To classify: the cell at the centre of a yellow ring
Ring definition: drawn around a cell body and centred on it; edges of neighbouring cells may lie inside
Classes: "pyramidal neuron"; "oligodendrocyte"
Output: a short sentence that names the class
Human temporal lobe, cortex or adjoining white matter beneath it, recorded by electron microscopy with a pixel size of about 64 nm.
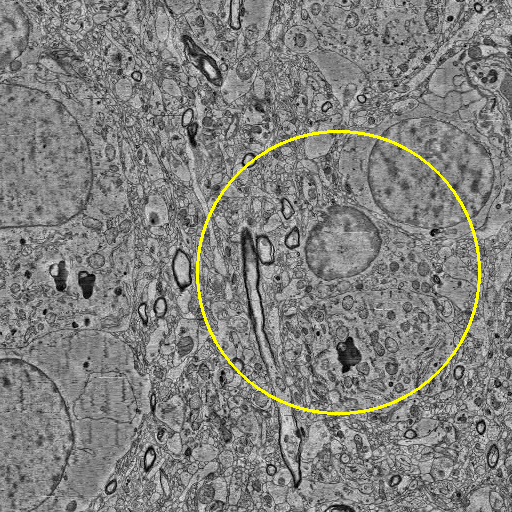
The ringed cell is an oligodendrocyte.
